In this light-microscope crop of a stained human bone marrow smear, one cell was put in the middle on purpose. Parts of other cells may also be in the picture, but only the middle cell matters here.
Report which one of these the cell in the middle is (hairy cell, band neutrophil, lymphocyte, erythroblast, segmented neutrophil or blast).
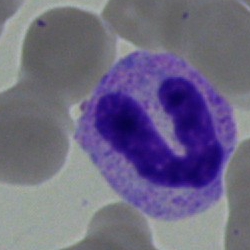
band neutrophil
